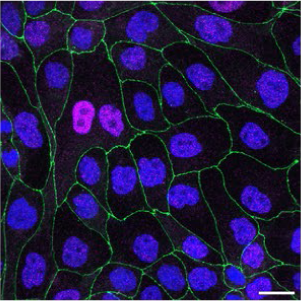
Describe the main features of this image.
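This is a flat epithelial sheet of polygonal cells outlined by thin green junction lines, each with a rounded blue to purple nucleus. Most nuclei are a similar blue-violet shade with faint magenta. Near the upper left, one cell holds two nuclei side by side that glow strongly magenta, much brighter than any neighbour. The bright pair marks a multinucleated cell with enhanced nuclear staining set among ordinary mononucleated cells.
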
